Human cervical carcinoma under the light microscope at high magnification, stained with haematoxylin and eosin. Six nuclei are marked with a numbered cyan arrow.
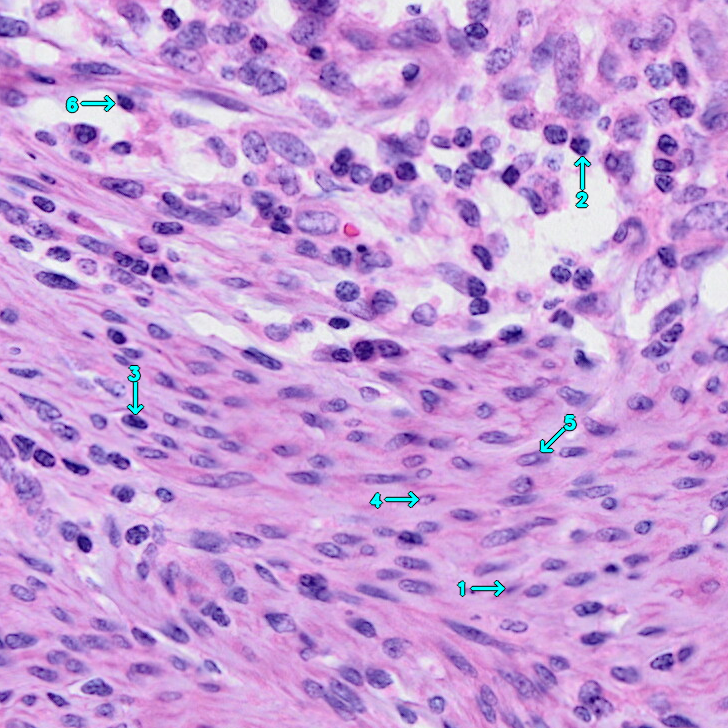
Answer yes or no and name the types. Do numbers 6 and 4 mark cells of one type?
No, cell 6 here is a lymphocyte, and cell 4 here is a smooth muscle cell.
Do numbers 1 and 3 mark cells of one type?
No, cell 1 is a smooth muscle cell, and as for cell 3, it is a lymphocyte.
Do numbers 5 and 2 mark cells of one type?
No, the cell marked 5 is a smooth muscle cell, and the cell marked 2 is a lymphocyte.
